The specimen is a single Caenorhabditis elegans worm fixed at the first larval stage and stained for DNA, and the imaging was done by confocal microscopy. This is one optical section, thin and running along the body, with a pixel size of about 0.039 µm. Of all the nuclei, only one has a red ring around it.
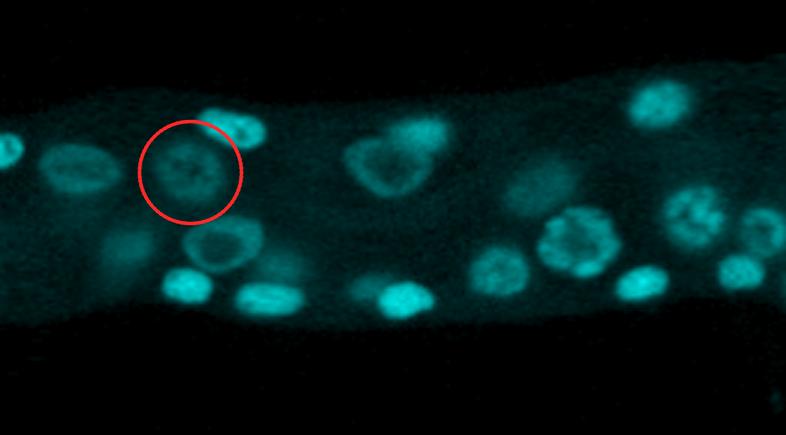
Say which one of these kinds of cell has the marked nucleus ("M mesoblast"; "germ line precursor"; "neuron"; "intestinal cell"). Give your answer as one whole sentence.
The marked nucleus belongs to an M mesoblast.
